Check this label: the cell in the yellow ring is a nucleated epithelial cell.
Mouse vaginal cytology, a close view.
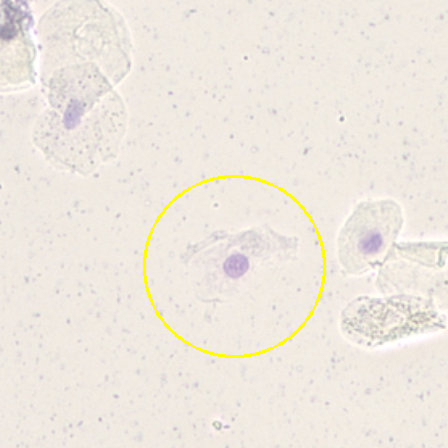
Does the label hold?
The label holds; the cell is a nucleated epithelial cell.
